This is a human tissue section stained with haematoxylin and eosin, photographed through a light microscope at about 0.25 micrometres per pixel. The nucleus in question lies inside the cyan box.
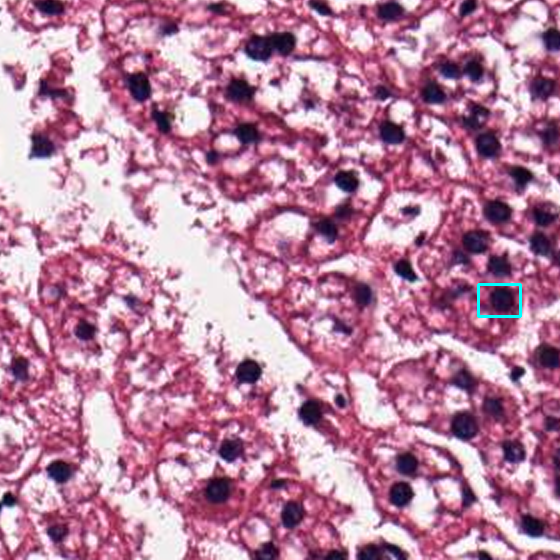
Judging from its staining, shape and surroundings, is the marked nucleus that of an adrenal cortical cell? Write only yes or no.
yes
